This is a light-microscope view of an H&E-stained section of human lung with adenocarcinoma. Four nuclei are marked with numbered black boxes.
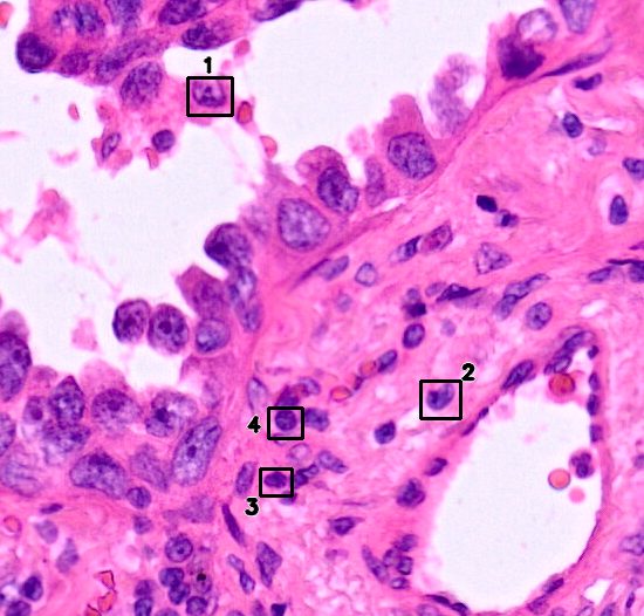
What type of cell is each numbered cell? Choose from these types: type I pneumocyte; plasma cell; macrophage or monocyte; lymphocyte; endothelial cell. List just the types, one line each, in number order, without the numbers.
macrophage or monocyte
lymphocyte
lymphocyte
lymphocyte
